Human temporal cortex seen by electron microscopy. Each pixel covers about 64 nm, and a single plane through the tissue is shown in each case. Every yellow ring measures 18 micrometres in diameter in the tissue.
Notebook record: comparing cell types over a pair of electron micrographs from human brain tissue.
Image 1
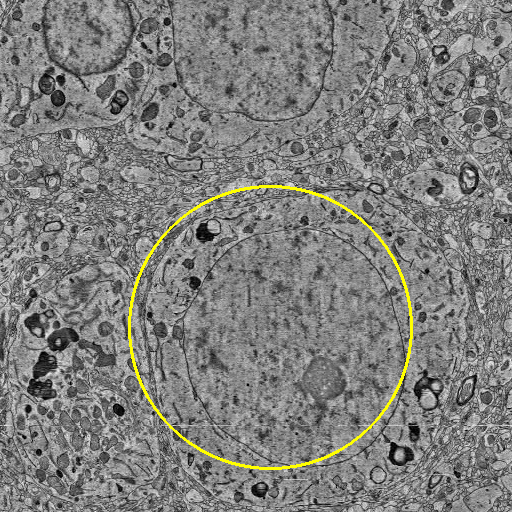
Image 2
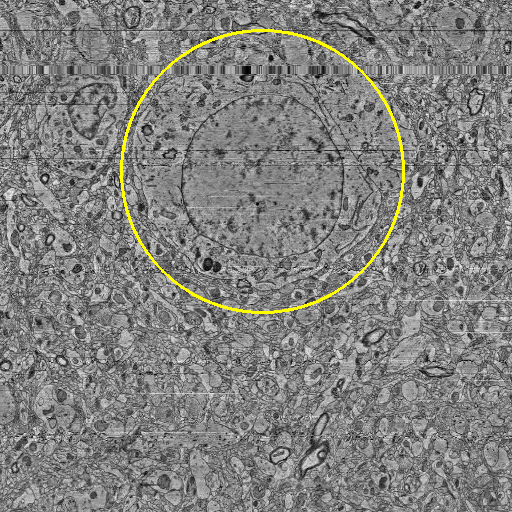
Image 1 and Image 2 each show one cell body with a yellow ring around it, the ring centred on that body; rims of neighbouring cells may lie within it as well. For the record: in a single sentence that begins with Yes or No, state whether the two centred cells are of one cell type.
Yes, one cell type is shared by the centred cells of Image 1 and Image 2.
